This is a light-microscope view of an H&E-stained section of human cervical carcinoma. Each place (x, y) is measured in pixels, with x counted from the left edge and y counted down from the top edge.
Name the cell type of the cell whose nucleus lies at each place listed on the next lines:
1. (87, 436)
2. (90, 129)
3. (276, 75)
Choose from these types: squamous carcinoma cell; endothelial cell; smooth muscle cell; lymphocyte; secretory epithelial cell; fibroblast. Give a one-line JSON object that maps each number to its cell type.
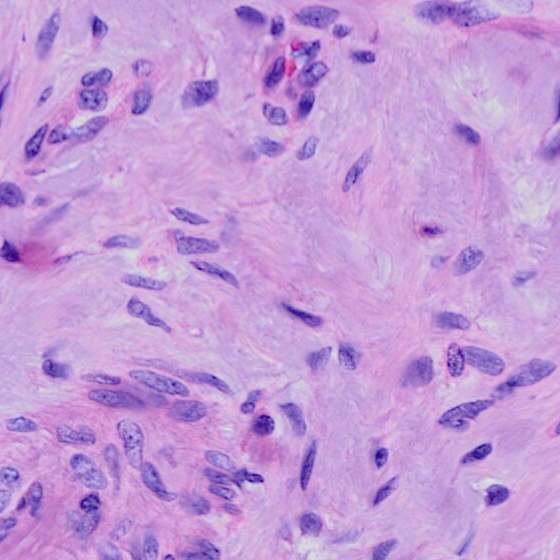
{"1": "smooth muscle cell", "2": "endothelial cell", "3": "endothelial cell"}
